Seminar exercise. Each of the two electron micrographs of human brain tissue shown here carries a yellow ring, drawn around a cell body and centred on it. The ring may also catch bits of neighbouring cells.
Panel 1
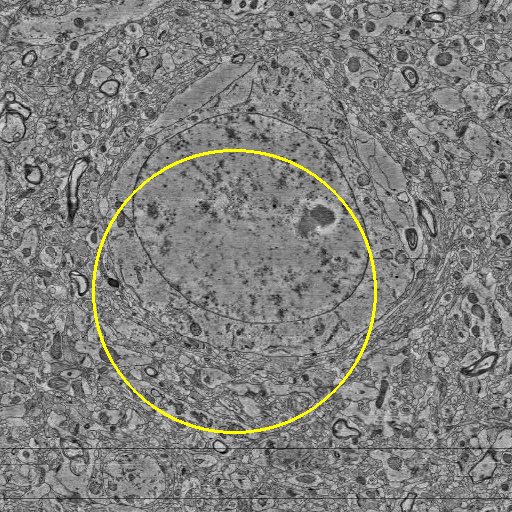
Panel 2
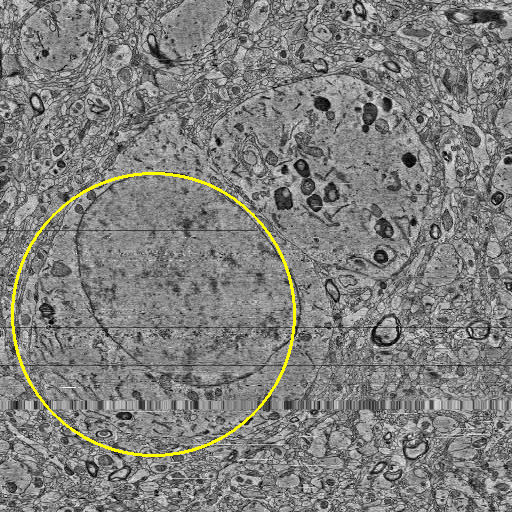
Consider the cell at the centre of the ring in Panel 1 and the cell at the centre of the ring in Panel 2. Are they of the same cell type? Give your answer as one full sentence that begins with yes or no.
Yes, both cells are of the same type.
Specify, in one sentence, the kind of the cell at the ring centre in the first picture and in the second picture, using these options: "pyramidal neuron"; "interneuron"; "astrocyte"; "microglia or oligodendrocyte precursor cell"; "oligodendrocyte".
Each of the ringed cells, first and second, is a pyramidal neuron.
